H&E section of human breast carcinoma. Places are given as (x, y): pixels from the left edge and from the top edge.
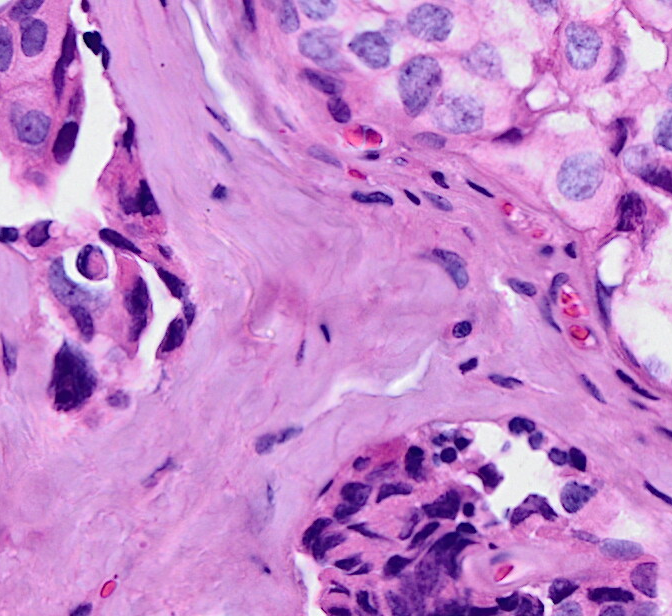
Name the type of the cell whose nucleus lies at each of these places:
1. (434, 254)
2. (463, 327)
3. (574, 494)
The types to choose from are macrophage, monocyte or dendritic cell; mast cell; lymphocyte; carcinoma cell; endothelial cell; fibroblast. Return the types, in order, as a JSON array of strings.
["fibroblast", "mast cell", "carcinoma cell"]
